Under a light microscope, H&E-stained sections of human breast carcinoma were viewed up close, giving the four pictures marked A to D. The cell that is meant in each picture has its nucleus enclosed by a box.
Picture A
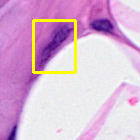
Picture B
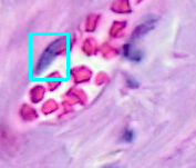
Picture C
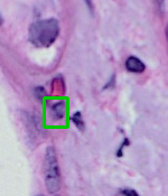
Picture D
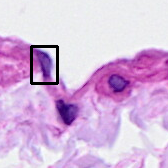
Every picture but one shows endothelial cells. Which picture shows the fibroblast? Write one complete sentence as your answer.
The fibroblast is the one in picture A.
